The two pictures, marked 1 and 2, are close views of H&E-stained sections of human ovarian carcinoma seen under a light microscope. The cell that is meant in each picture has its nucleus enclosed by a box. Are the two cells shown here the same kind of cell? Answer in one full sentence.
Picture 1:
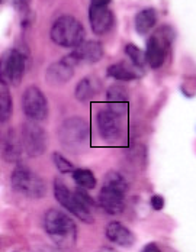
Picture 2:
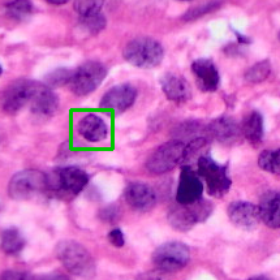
No. Picture 1 shows a carcinoma cell, but picture 2 shows a “macrophage or monocyte”.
